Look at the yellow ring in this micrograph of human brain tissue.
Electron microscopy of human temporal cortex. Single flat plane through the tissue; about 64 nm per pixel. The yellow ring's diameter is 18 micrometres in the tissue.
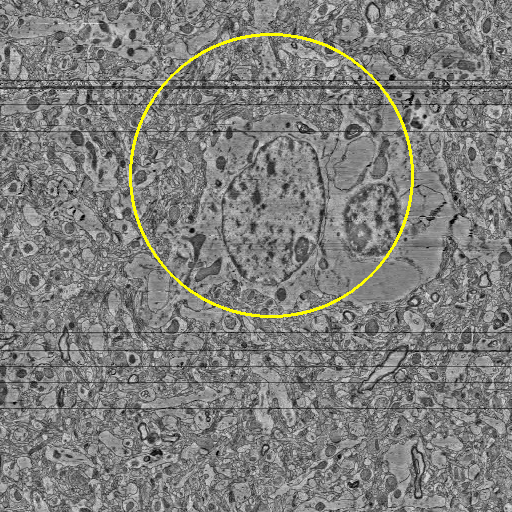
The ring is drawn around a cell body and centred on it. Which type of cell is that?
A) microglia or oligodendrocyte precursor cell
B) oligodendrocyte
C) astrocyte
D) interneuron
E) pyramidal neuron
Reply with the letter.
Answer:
C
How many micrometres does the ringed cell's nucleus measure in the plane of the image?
Approximately 10 by 7 micrometers, which makes the nucleus clearly longer than it is wide in this plane.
